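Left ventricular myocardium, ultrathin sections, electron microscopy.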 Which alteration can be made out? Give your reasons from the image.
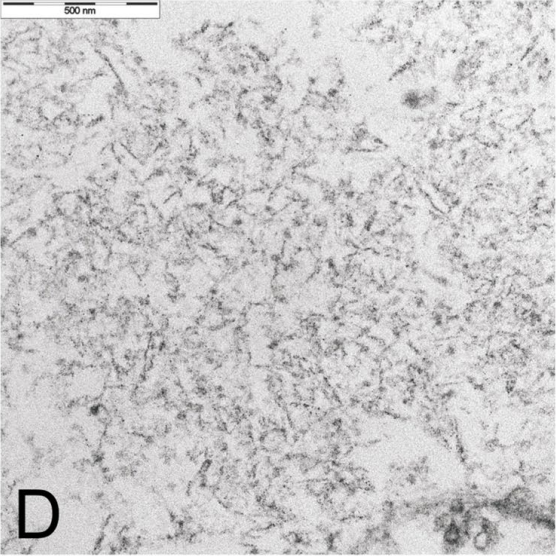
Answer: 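Fibrillar pattern. The field is filled with short, fine, randomly oriented dark filaments.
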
